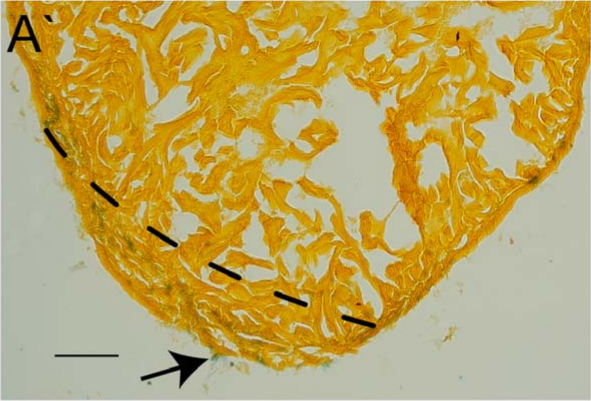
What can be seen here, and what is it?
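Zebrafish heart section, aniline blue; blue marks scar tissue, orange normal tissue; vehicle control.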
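The tip of a zebrafish ventricle shows a network of orange-stained muscle trabeculae with open spaces between them, continuous right down to a compact orange outer wall. Only a faint trace of blue lies at the outer edge of the apex.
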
